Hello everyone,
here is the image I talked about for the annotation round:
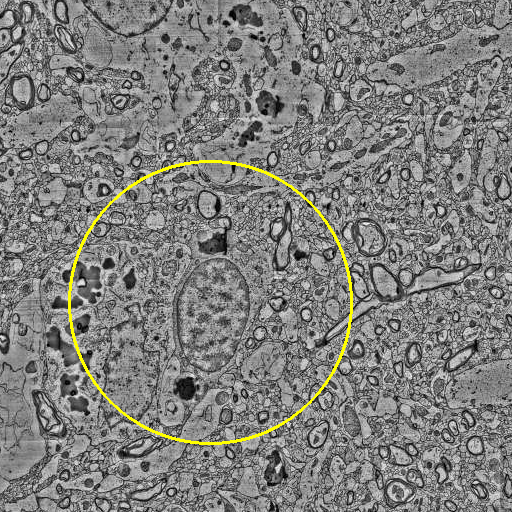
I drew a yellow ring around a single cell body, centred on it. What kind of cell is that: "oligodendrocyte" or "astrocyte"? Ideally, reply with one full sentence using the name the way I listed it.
The cell your yellow ring is centred on is an oligodendrocyte, going by your list.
